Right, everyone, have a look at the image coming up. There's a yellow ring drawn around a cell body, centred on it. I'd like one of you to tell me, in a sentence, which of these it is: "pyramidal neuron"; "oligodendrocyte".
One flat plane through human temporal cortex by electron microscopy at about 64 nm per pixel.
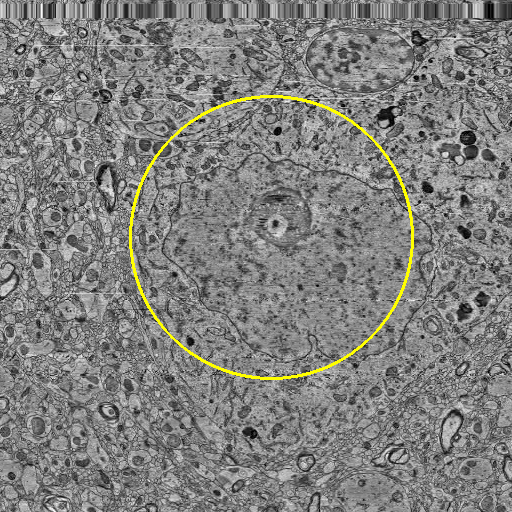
The yellow ring sits on a pyramidal neuron.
